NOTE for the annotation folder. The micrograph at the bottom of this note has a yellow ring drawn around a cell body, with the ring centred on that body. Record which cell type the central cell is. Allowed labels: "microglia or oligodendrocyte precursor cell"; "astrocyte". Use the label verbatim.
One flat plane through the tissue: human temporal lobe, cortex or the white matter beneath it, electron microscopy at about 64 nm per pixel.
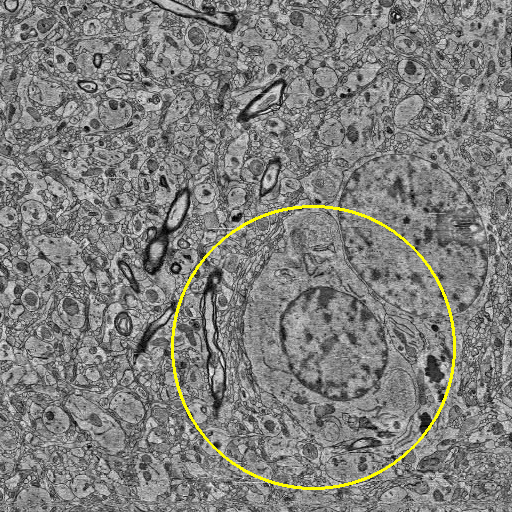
astrocyte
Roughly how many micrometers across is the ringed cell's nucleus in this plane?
In this plane, the nucleus of the cell at the centre of the ring measures about 8 by 6 micrometres.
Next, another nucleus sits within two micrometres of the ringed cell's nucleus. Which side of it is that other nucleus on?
The second nucleus sits to the upper right of it.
